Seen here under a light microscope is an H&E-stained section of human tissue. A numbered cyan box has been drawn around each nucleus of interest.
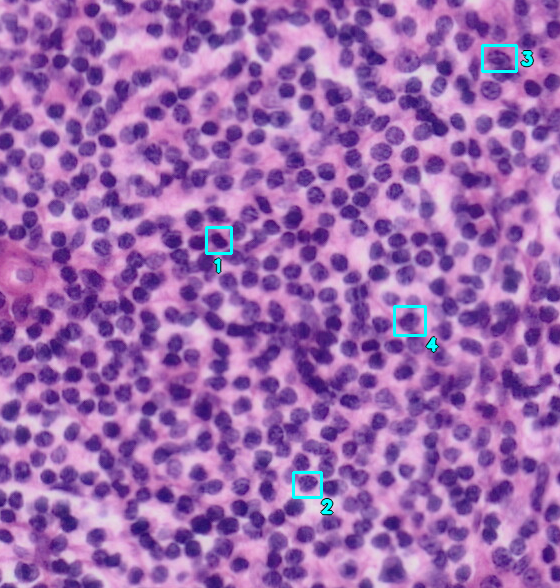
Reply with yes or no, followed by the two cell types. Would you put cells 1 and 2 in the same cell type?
Yes, for cells 1 and 2 alike, the identity is that of small lymphocytes.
